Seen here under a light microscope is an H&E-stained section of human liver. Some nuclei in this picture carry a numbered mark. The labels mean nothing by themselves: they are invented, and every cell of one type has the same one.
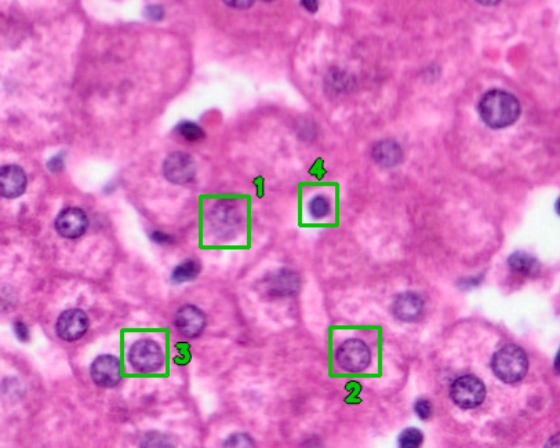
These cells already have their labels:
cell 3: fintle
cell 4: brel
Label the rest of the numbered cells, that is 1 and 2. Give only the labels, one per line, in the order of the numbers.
fintle
fintle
